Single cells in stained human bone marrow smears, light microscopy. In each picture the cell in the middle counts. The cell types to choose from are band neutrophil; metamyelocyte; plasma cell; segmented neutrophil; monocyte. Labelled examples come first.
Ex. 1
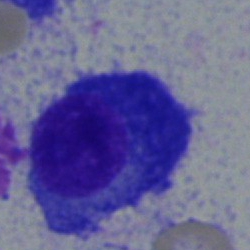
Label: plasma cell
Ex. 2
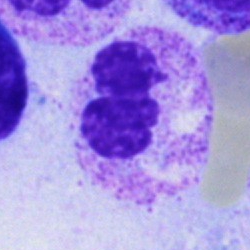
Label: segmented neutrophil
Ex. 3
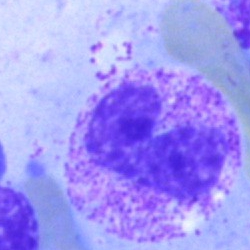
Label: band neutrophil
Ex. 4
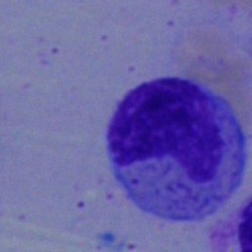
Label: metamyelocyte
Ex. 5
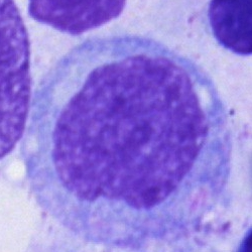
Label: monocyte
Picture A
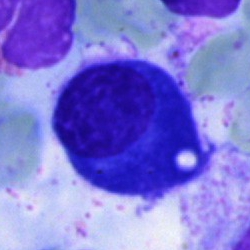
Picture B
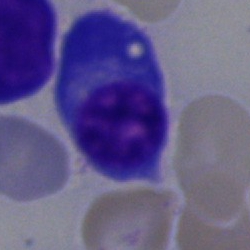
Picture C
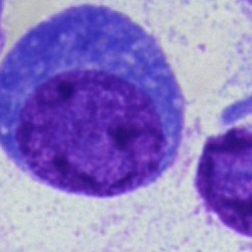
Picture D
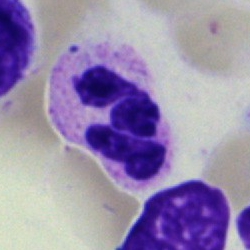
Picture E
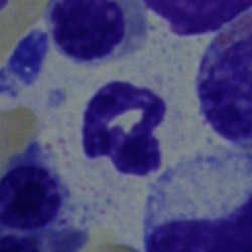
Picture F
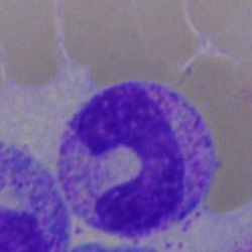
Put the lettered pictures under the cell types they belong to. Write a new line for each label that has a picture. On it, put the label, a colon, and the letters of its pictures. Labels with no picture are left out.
band neutrophil: F
plasma cell: A, B, C
segmented neutrophil: D, E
